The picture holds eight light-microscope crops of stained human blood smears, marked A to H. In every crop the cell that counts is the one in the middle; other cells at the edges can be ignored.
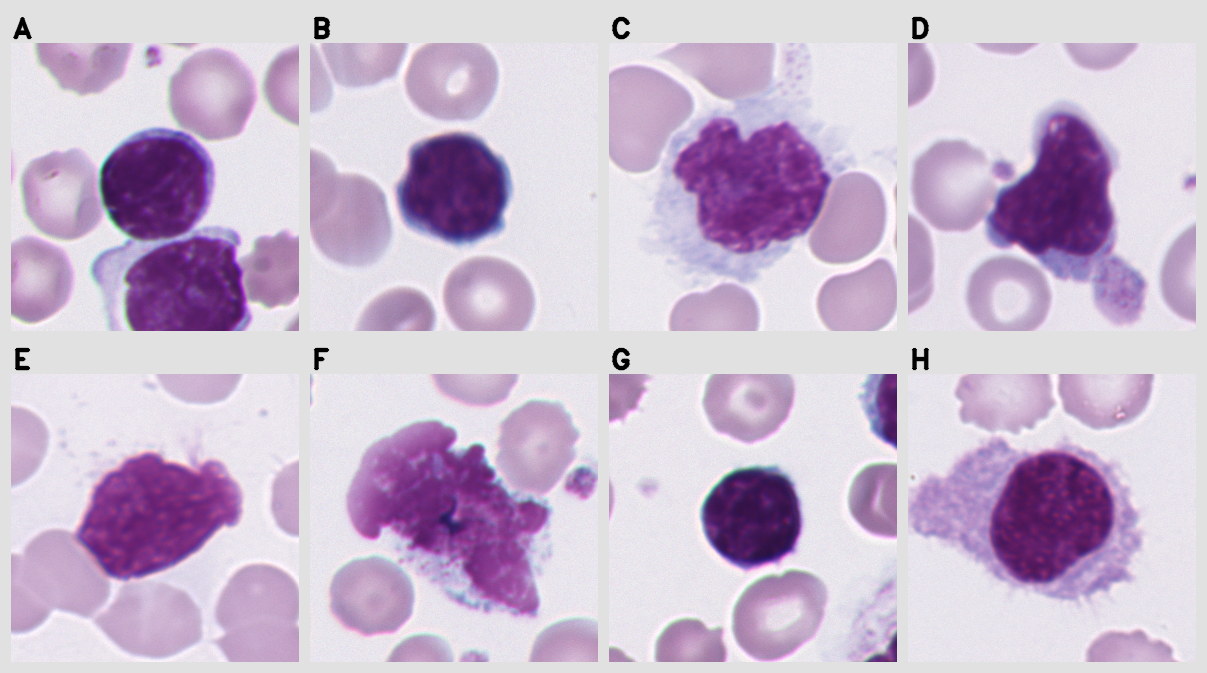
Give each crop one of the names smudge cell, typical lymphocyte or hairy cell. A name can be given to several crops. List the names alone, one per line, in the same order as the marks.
typical lymphocyte
typical lymphocyte
hairy cell
typical lymphocyte
smudge cell
smudge cell
typical lymphocyte
hairy cell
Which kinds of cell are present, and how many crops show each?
typical lymphocyte: 4
hairy cell: 2
smudge cell: 2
